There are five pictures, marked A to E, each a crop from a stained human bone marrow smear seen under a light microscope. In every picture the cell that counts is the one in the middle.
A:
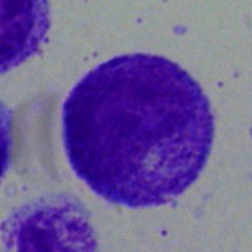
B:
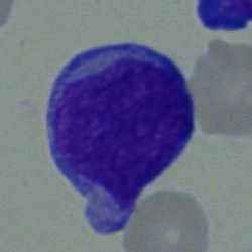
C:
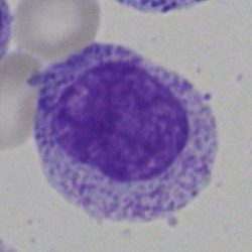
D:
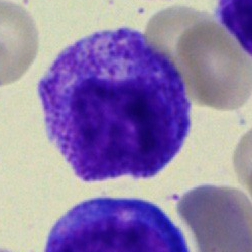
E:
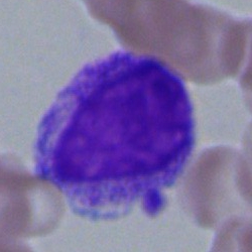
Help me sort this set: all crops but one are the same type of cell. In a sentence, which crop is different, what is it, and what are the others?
Crop B breaks the pattern as a blast; the other crops all contain myelocytes.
